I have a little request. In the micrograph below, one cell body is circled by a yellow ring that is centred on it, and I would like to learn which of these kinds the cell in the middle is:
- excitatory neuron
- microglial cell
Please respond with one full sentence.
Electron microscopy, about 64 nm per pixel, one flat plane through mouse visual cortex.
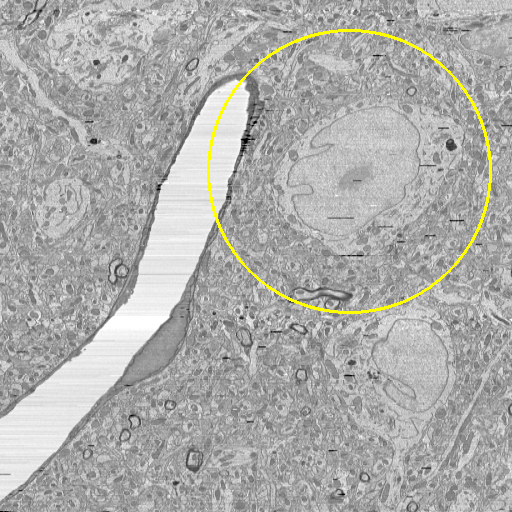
The cell sitting in the middle of the yellow ring in the micrograph is an excitatory neuron.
